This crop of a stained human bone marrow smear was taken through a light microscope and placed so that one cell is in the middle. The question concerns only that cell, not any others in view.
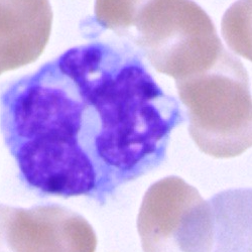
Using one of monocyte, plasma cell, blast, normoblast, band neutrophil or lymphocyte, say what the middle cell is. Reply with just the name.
monocyte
